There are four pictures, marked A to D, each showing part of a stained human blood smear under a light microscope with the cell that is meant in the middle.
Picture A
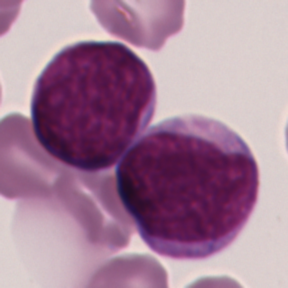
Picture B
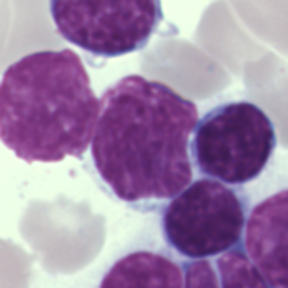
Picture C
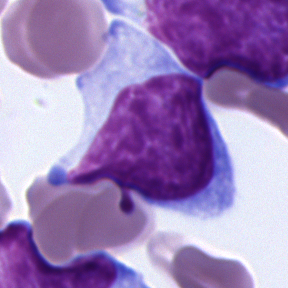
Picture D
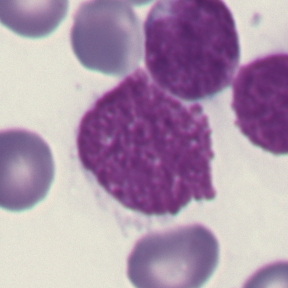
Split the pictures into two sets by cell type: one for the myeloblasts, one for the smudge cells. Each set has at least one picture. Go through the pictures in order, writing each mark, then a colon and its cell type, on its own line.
A: myeloblast
B: myeloblast
C: myeloblast
D: smudge cell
